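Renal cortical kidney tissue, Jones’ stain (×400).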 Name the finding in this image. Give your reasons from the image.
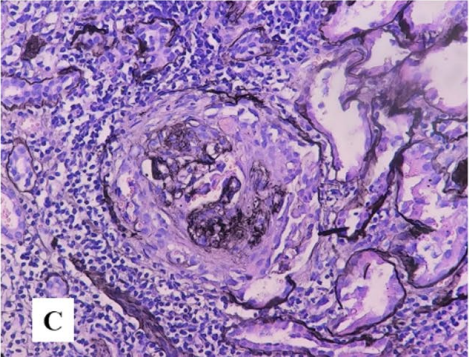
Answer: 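A compressed glomerular tuft is surrounded by a layered rim of cells filling Bowman's space. The cells of the rim are arranged concentrically around the tuft.
Answer: cellular crescent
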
